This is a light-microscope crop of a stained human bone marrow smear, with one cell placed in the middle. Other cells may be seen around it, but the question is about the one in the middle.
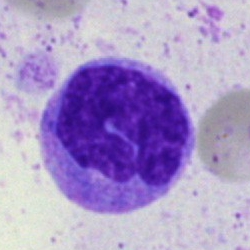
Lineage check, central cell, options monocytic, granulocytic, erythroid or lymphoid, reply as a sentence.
That the central cell belongs to the monocytic lineage is the finding here.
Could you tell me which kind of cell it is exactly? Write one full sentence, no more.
The centrally placed cell is classified as a monocyte.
